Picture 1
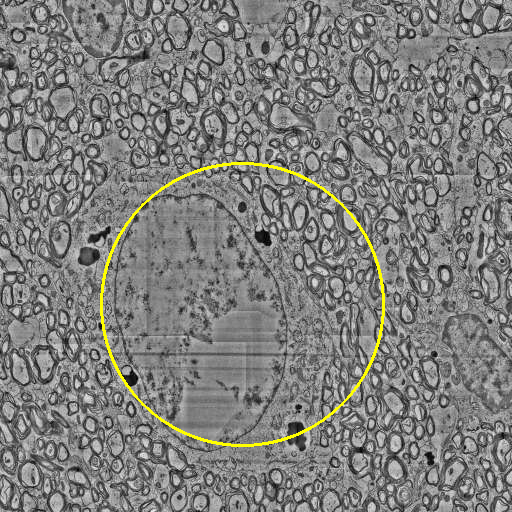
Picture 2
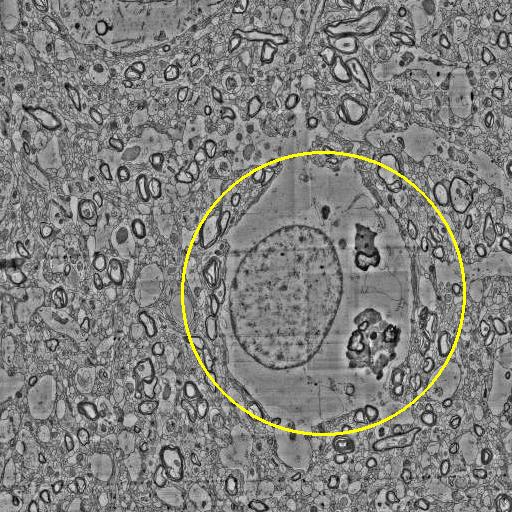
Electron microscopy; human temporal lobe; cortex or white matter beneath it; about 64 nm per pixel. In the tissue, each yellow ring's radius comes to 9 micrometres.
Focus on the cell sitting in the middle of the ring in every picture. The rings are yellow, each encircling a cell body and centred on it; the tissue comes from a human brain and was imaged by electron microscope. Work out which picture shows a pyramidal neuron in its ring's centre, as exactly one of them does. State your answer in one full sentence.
In picture 1, the ring is centred on the cell in question.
